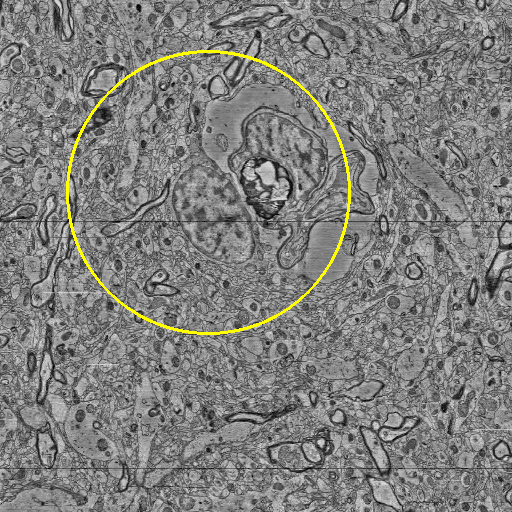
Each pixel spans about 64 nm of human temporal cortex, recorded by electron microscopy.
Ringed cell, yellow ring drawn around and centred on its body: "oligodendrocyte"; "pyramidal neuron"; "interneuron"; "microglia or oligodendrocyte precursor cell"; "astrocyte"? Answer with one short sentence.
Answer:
This ringed cell is an oligodendrocyte.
